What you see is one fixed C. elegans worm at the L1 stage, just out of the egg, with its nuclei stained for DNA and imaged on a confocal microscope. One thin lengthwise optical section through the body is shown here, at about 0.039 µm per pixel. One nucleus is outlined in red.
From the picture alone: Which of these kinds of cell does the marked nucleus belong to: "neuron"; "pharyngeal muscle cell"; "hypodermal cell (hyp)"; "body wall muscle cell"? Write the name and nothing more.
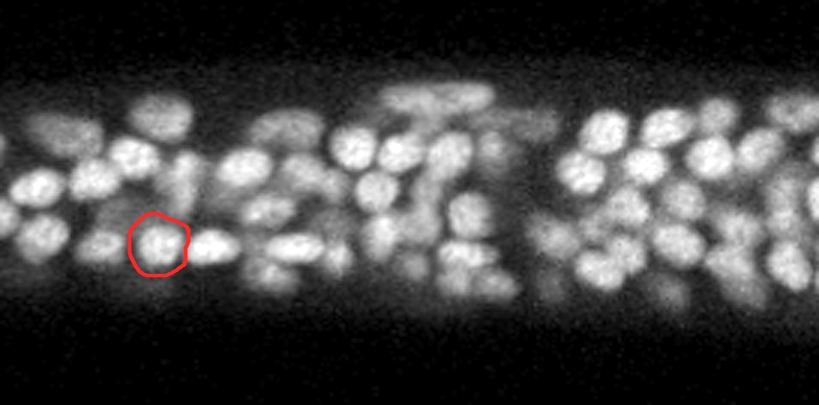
hypodermal cell (hyp)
